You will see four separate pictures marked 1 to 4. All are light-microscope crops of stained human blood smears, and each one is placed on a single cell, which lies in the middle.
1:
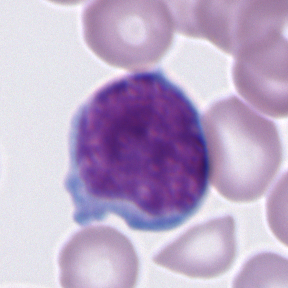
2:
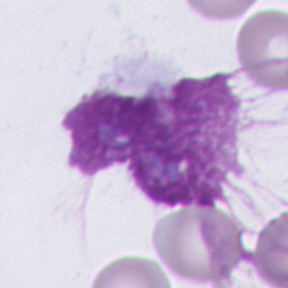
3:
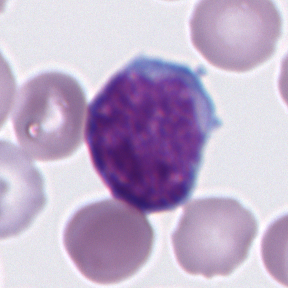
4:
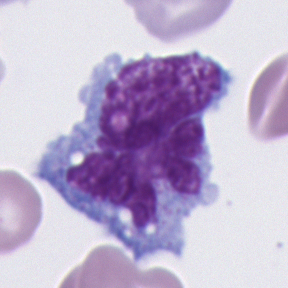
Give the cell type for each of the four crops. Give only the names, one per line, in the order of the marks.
myeloblast
smudge cell
myeloblast
monocyte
